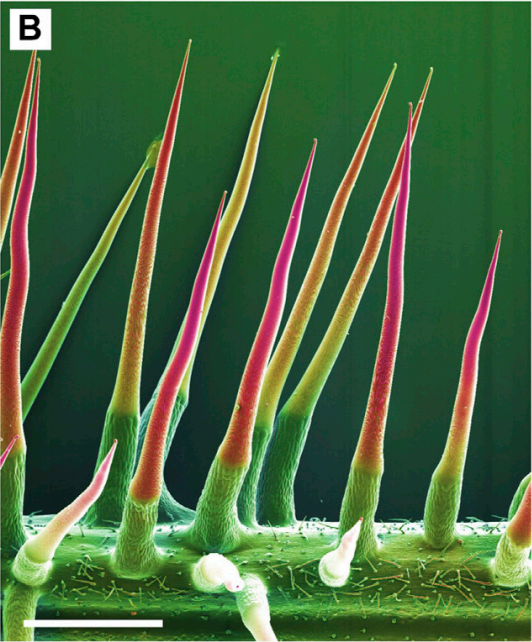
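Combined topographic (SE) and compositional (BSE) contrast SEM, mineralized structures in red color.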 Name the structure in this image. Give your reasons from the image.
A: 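Long, slender hairs taper to fine points. Each hair rises from a broad, swollen base on a cylindrical stalk. The upper parts of the hairs are colored red. The answer: Stinging hairs.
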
